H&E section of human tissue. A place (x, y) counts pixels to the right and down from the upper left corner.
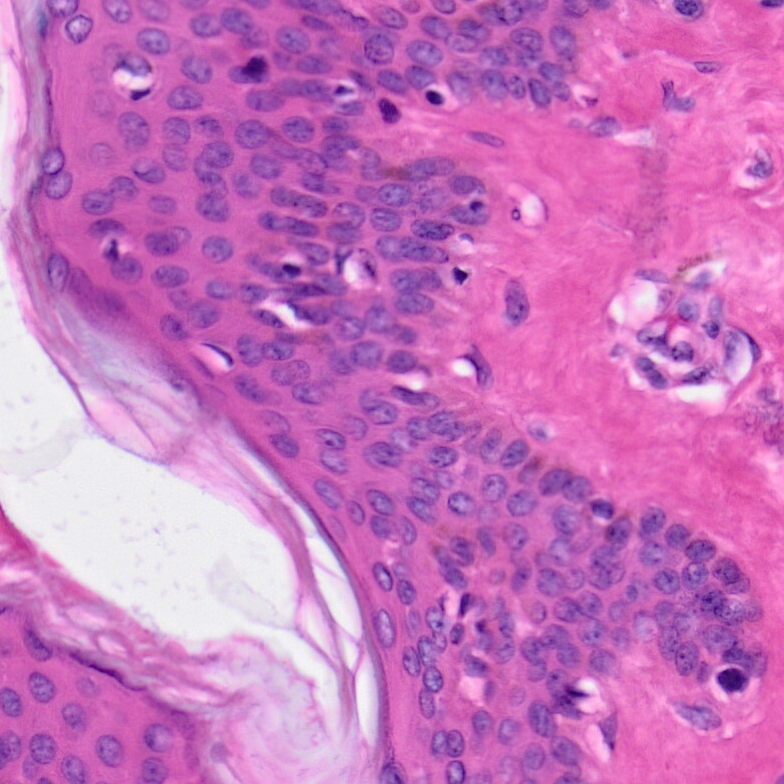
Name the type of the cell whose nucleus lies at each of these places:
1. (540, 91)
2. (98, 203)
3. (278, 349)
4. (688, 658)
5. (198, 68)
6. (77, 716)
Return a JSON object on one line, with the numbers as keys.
{"1": "basal keratinocyte", "2": "suprabasal keratinocyte", "3": "suprabasal keratinocyte", "4": "basal keratinocyte", "5": "suprabasal keratinocyte", "6": "suprabasal keratinocyte"}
